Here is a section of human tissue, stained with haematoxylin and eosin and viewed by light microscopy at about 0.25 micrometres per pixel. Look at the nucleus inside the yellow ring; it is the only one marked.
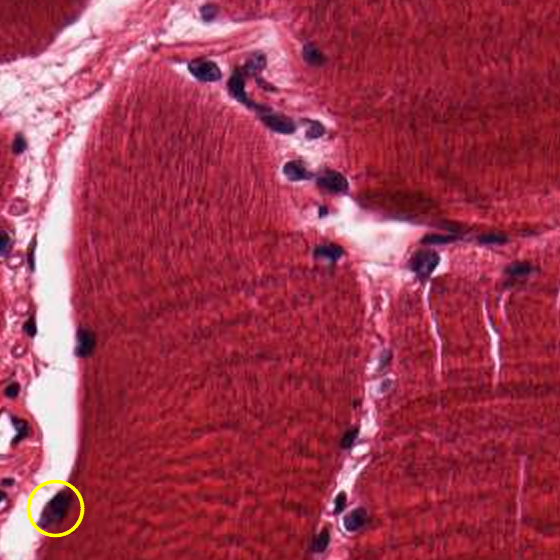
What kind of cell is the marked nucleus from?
skeletal muscle fibre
